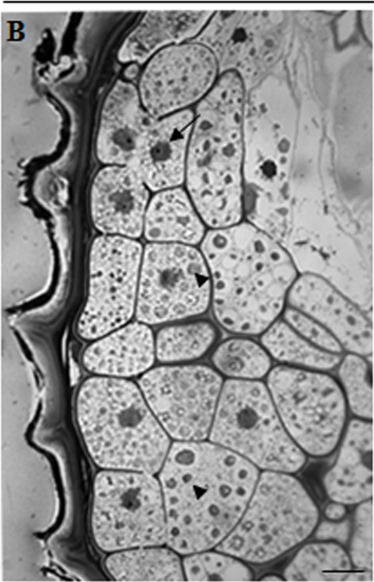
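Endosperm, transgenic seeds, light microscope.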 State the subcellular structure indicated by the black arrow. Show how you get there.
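The arrow points to a dark, rounded body in the middle of a cell. Several cells each hold one such larger dark rounded body. The answer: prominent nuclei.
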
